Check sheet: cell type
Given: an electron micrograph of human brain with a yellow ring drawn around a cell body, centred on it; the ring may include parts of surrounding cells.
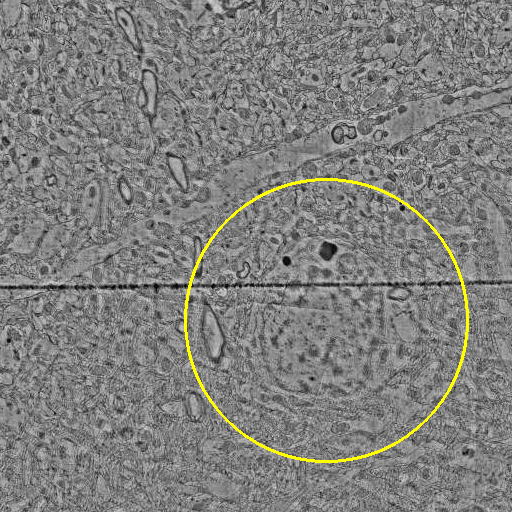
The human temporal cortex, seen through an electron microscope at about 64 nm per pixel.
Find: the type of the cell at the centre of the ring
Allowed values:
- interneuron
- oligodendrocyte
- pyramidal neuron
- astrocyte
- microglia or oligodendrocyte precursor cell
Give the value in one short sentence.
Here the ringed cell is an interneuron.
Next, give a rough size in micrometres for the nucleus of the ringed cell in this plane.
The ringed cell's nucleus is about 8 micrometres across in this plane.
